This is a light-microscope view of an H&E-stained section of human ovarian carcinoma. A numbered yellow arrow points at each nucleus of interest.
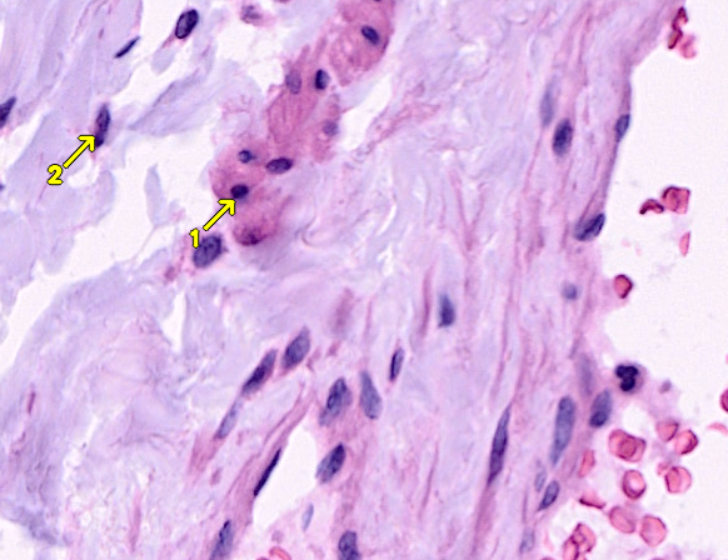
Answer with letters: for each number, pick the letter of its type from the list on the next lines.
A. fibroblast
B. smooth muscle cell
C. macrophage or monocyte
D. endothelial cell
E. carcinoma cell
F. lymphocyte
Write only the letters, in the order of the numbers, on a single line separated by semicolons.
B; A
